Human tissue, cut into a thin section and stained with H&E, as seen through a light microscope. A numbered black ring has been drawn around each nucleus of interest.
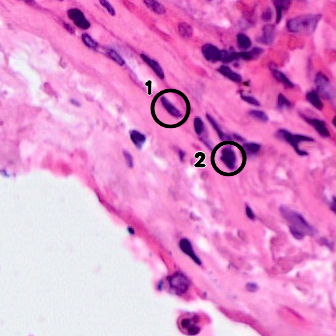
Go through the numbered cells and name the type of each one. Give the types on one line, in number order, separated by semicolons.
endothelial cell; lymphocyte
